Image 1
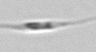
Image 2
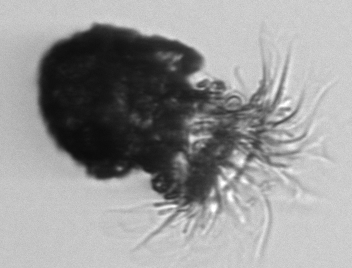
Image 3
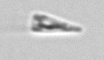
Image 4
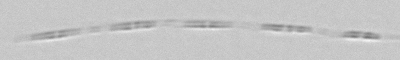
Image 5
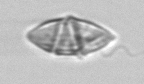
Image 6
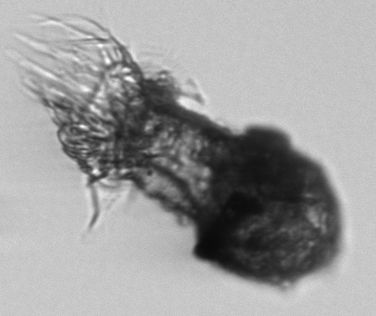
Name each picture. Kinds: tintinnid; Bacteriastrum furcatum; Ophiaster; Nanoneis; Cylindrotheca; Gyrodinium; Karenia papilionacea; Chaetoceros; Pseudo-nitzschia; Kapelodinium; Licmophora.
1. Cylindrotheca
2. tintinnid
3. Licmophora
4. Pseudo-nitzschia
5. Gyrodinium
6. tintinnid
